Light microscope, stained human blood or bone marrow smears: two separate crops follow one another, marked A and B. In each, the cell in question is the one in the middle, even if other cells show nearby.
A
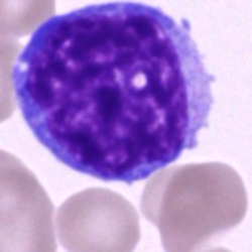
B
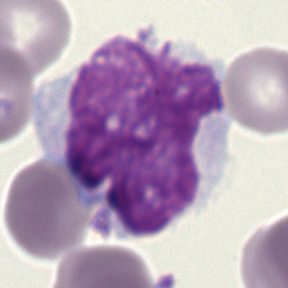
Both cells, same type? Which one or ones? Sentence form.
No, record crop A as a blast and crop B as a monocyte.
